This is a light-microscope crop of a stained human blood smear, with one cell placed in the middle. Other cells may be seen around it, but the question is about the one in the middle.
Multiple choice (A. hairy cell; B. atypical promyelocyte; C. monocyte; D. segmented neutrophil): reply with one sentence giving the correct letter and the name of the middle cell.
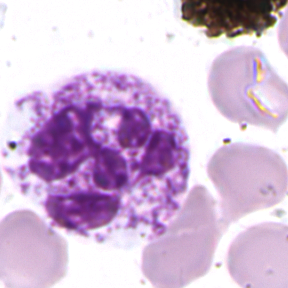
Option D is correct in naming the middle cell a segmented neutrophil.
